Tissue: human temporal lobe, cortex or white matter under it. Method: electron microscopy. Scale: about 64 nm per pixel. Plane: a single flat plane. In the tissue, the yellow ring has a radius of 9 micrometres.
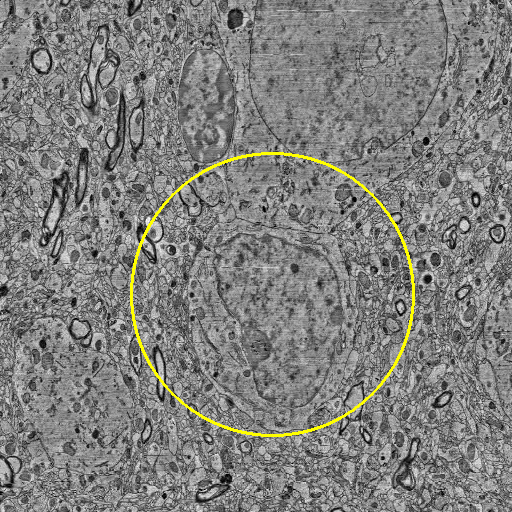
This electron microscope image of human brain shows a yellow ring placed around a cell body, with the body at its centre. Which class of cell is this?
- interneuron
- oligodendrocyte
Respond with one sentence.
The cell body at the ring's centre is an interneuron.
